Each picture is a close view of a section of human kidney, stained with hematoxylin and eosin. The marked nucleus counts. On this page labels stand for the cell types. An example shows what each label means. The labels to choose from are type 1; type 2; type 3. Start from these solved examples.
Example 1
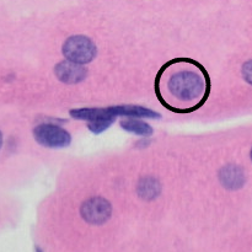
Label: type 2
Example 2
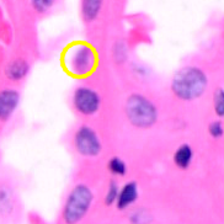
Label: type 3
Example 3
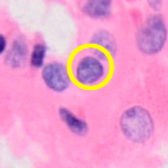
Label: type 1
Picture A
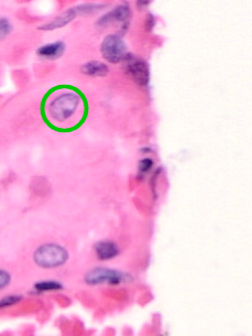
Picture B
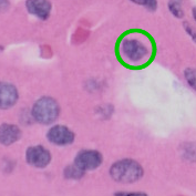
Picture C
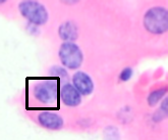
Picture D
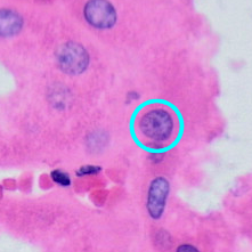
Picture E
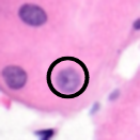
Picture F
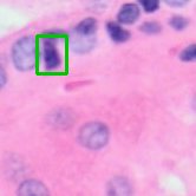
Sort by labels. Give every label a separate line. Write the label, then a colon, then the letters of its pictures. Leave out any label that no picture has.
type 1: C, F
type 2: A, D, E
type 3: B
